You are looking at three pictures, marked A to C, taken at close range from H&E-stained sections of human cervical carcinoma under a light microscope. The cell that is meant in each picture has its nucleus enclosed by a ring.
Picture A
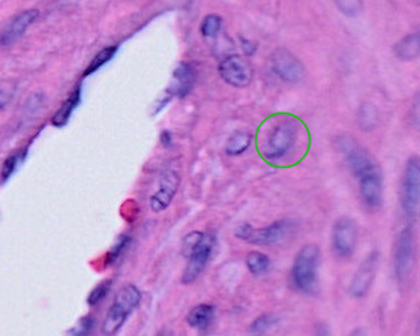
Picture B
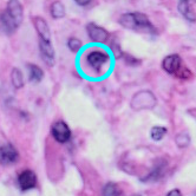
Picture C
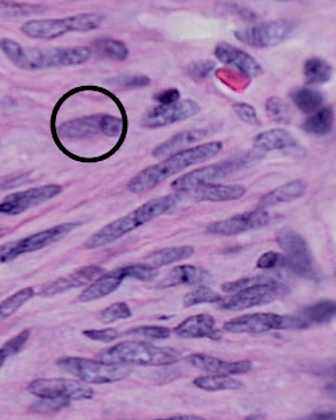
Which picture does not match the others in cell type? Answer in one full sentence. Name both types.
Unlike the rest, which show smooth muscle cells, picture B shows a lymphocyte.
